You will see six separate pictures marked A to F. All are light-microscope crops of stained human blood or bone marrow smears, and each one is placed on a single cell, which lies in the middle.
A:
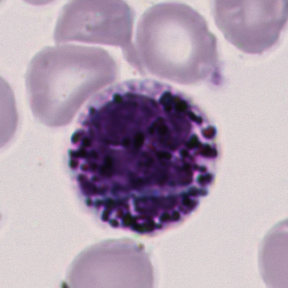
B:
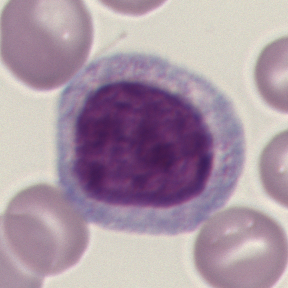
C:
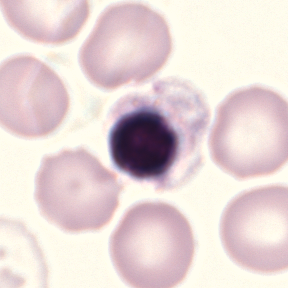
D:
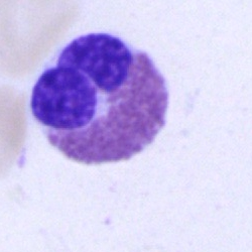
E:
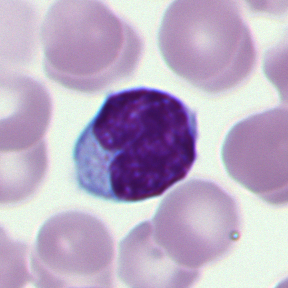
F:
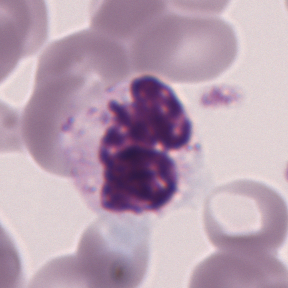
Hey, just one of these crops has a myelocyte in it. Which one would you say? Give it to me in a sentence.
Crop B, of the crops presented, is the one showing a myelocyte.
